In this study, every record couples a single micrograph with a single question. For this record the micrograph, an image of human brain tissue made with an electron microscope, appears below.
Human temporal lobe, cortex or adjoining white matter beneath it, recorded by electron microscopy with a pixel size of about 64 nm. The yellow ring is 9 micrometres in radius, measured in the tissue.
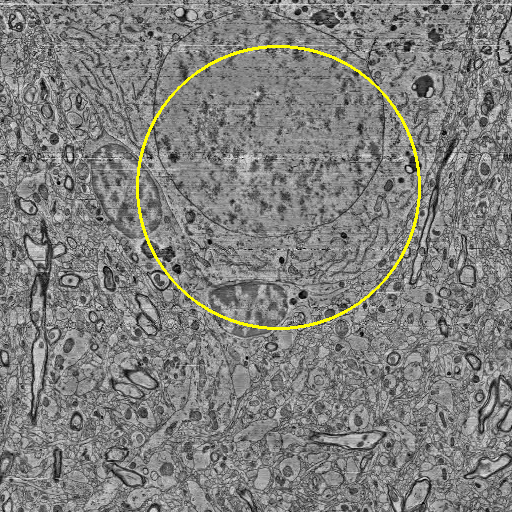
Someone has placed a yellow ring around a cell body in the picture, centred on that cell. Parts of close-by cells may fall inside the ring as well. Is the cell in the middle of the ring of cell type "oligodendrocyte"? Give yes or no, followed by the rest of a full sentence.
No, the cell centred in the ring shown in the picture has a different cell type.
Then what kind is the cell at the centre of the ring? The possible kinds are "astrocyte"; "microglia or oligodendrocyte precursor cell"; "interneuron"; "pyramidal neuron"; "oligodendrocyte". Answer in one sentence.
It is a pyramidal neuron at the centre of the ring.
